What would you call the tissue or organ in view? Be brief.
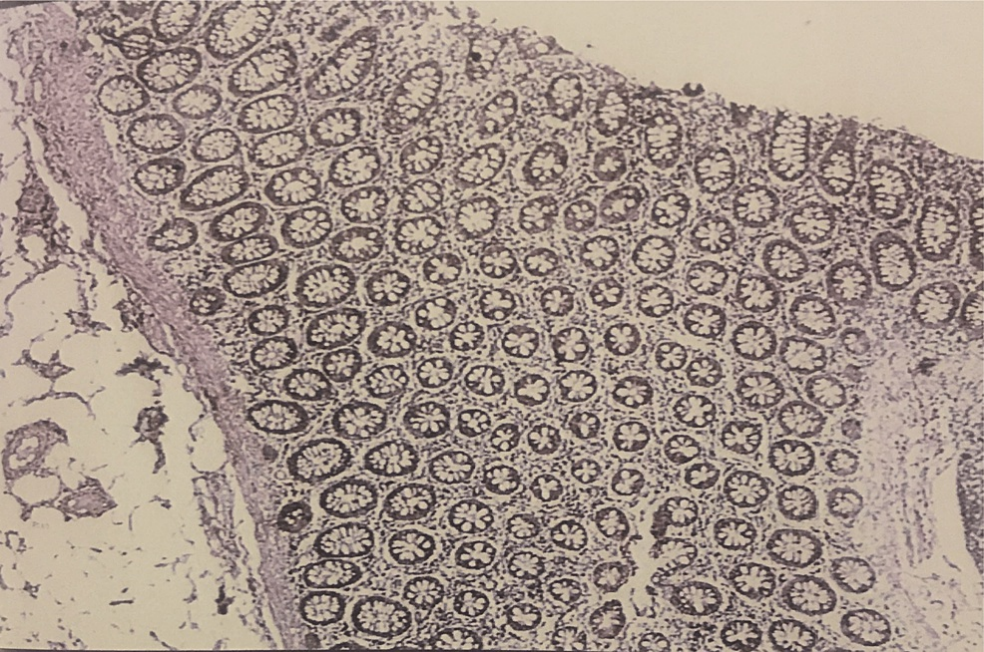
colonic mucosa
